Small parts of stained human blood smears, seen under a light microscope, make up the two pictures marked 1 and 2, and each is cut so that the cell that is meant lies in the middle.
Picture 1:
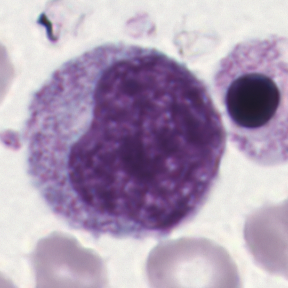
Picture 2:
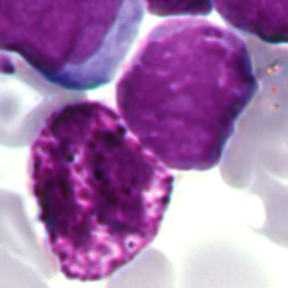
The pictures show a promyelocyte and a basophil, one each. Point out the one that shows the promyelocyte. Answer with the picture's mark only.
1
